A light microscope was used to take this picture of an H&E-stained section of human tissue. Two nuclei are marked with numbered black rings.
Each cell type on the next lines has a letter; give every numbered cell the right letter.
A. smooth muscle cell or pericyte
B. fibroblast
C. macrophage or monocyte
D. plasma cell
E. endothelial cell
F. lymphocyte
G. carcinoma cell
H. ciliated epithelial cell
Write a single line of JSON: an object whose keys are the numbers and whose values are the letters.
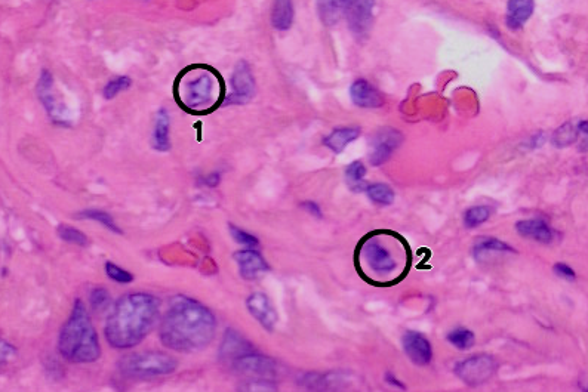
{"1": "B", "2": "F"}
